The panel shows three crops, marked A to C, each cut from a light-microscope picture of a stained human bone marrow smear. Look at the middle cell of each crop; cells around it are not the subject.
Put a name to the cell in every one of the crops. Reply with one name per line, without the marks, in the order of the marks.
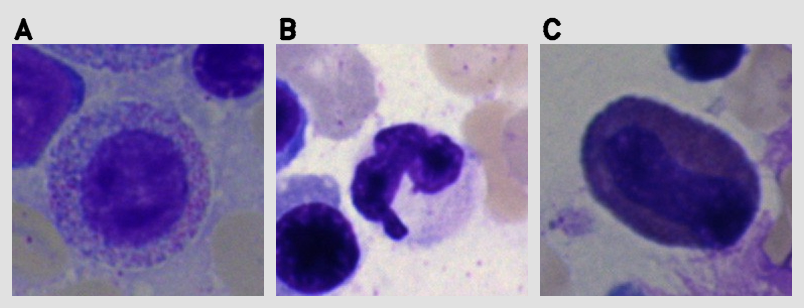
myelocyte
segmented neutrophil
eosinophil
